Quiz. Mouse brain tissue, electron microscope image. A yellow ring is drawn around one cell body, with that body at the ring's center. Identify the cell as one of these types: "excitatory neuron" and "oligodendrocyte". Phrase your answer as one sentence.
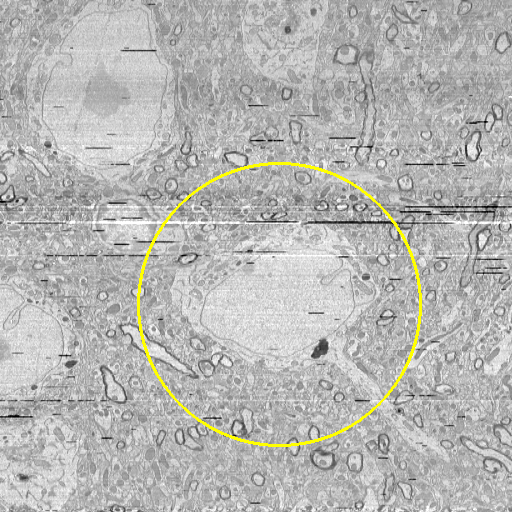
At the center of the ring sits an excitatory neuron.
